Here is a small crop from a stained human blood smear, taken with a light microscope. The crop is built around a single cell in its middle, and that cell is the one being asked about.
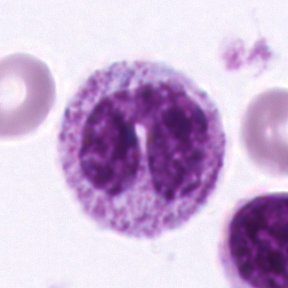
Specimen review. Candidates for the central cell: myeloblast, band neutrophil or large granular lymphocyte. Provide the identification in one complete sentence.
The cell around which this crop is centred is a band neutrophil.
